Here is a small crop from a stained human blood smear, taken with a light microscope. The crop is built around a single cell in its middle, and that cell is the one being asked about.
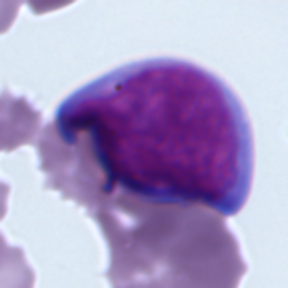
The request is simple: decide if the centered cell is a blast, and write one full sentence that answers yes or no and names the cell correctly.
Yes, the cell right in the middle is a blast.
